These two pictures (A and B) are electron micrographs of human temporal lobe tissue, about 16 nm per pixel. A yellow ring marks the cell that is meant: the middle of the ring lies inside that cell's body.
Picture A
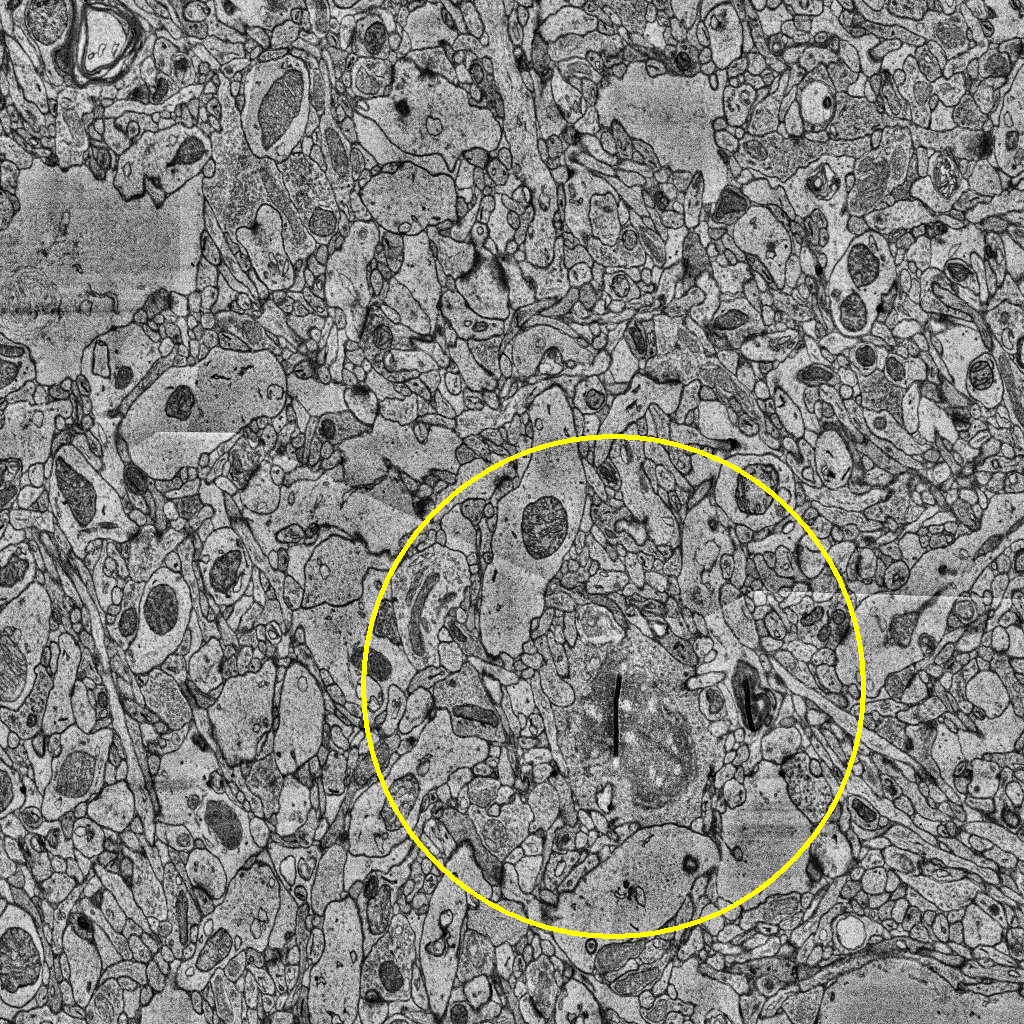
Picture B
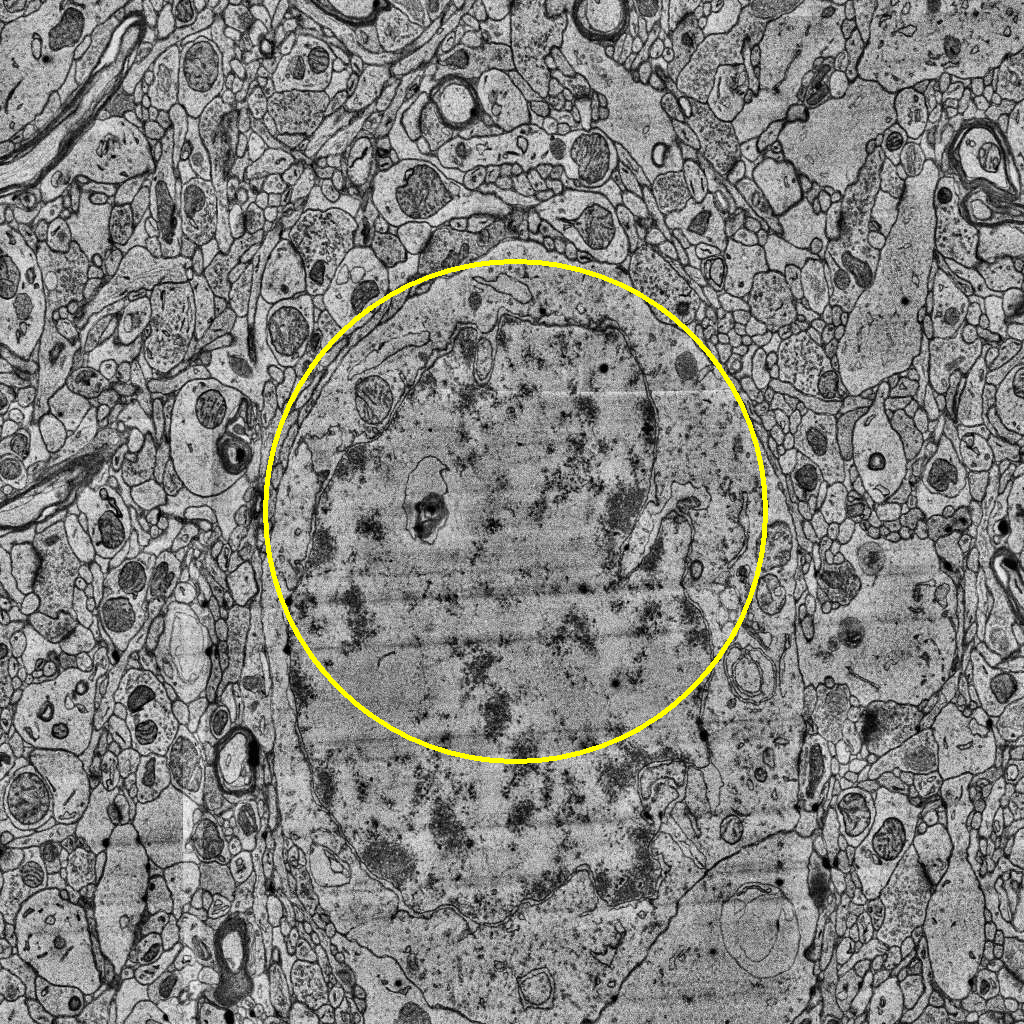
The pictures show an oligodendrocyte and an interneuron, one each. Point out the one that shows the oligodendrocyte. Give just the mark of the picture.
A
